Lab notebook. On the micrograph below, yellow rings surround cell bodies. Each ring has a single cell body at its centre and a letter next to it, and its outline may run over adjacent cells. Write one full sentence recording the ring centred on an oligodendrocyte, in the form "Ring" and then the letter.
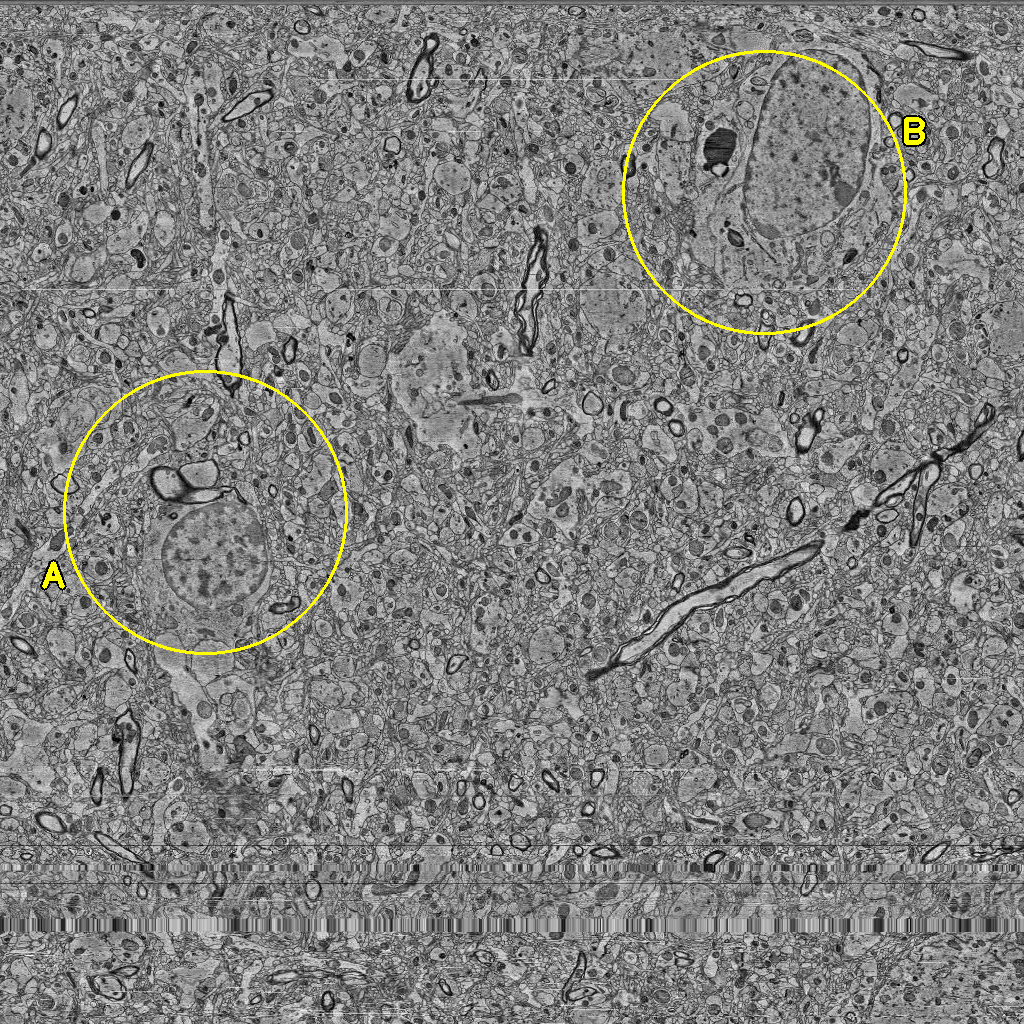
My answer is Ring A, the ring centred on a cell of that kind.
